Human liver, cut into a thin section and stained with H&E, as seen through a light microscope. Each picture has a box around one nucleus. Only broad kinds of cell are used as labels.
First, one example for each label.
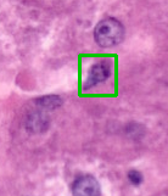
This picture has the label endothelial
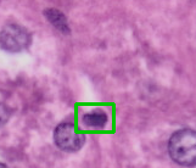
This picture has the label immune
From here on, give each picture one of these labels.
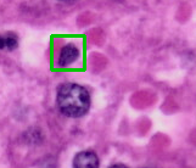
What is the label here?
immune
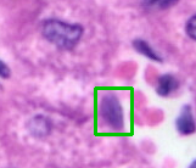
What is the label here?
endothelial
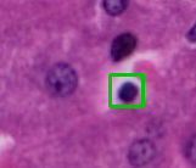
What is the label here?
immune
